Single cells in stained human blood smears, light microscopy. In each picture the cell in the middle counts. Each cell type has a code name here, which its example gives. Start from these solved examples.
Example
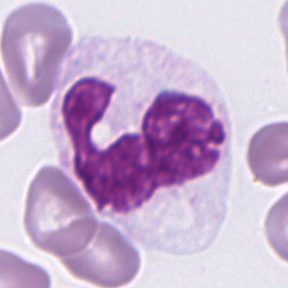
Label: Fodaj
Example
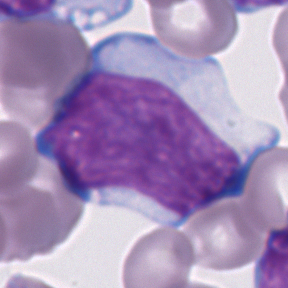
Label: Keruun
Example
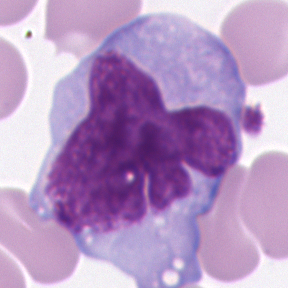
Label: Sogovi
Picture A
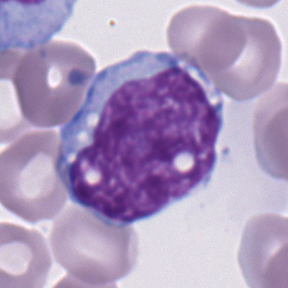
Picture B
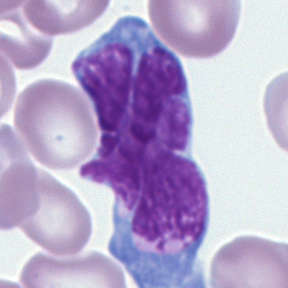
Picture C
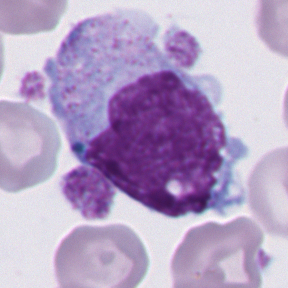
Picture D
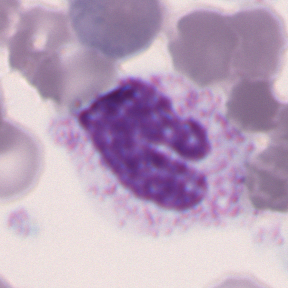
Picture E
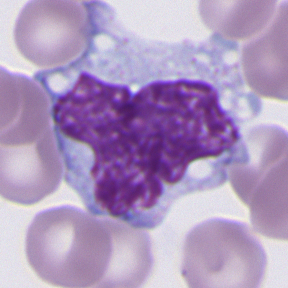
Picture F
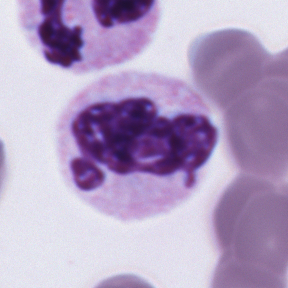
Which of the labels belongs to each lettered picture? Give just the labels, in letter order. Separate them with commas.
Keruun, Keruun, Sogovi, Fodaj, Sogovi, Fodaj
